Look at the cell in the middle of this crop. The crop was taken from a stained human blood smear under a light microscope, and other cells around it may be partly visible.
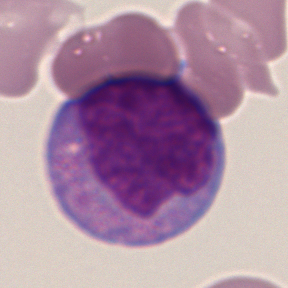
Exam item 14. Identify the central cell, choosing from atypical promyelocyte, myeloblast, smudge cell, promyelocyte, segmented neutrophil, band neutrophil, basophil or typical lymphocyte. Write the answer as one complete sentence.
The cell nearest the centre of this crop is an atypical promyelocyte.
